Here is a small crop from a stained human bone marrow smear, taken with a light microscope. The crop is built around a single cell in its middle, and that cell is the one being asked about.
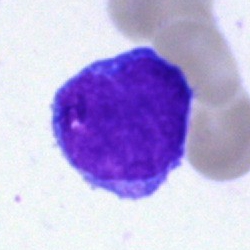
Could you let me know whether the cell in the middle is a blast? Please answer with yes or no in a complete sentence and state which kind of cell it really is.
Yes, the cell at the middle of the field is to be classed as a blast.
